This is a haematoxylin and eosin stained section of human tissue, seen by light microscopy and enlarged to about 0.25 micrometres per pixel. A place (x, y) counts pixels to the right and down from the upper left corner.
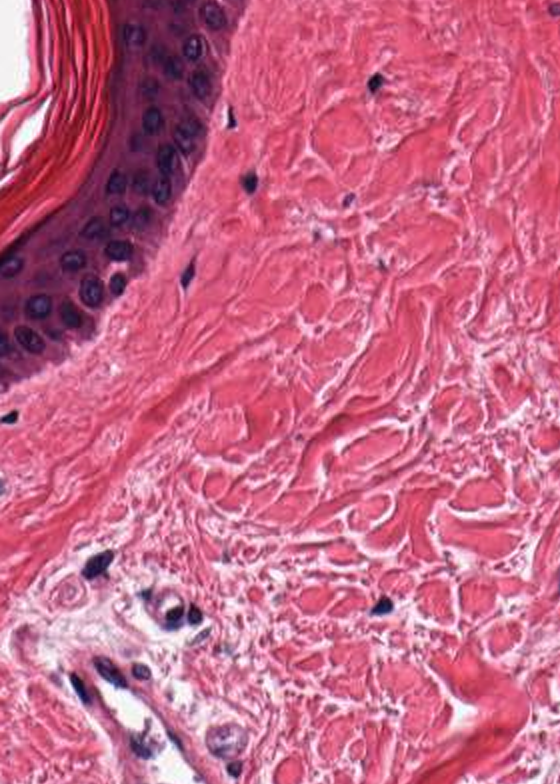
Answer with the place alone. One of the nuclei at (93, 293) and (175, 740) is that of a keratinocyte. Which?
(93, 293)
